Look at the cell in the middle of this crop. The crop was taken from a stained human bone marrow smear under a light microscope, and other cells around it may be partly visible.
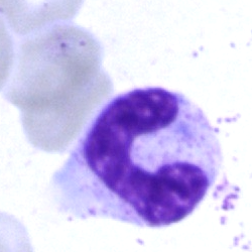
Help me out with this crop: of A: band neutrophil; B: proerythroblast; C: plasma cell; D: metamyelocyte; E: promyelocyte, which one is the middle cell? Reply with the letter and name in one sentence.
Option A is the correct option, with the middle cell being a band neutrophil.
